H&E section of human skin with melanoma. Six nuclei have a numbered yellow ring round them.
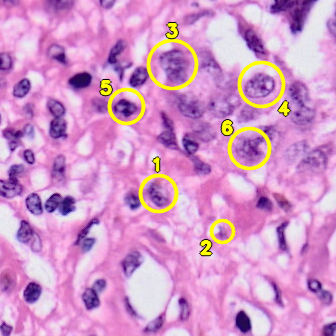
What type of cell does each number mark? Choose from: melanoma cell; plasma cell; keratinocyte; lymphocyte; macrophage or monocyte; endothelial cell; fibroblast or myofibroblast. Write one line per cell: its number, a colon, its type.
1: macrophage or monocyte
2: fibroblast or myofibroblast
3: melanoma cell
4: melanoma cell
5: plasma cell
6: melanoma cell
